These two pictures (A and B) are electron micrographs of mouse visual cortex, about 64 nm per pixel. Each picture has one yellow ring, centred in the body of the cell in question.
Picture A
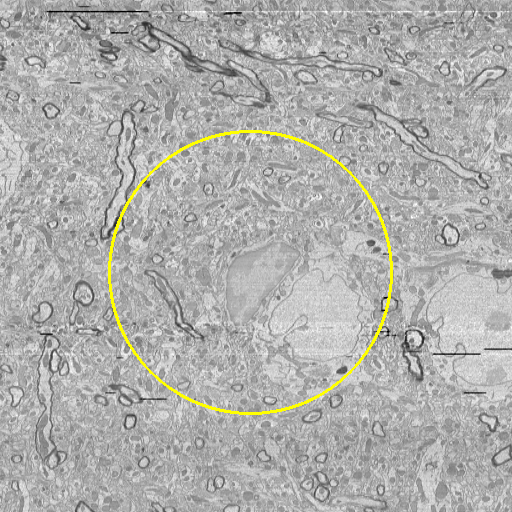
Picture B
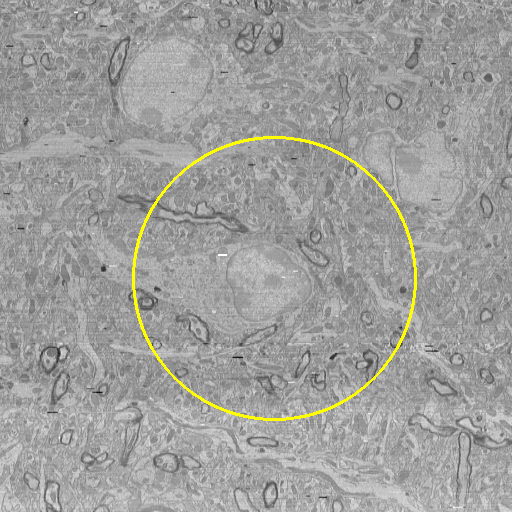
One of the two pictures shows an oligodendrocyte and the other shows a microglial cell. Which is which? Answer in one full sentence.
Picture A is of a microglial cell, and picture B is of an oligodendrocyte.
